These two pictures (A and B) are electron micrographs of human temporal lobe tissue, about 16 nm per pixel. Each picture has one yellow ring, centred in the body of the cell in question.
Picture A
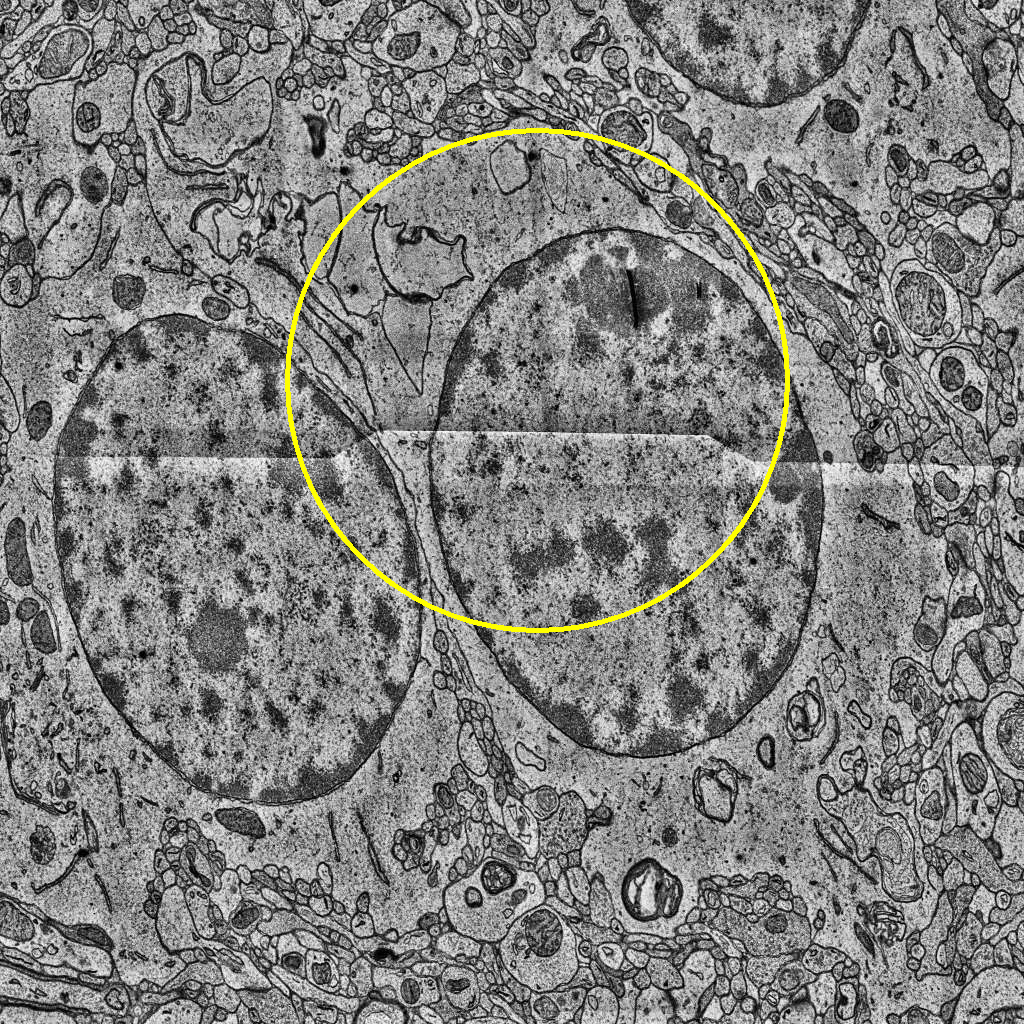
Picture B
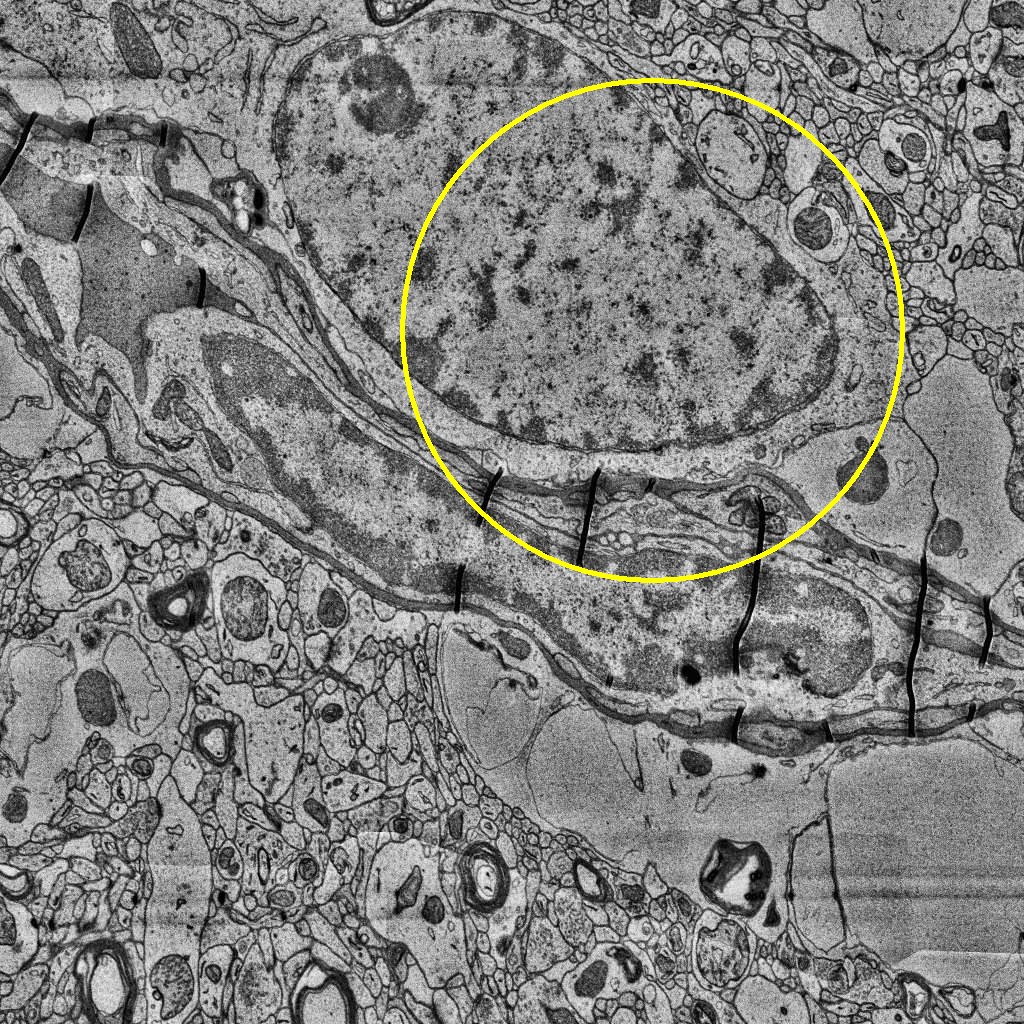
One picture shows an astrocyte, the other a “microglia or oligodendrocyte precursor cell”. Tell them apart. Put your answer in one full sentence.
In picture A the cell is an astrocyte; in picture B, a “microglia or oligodendrocyte precursor cell”.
